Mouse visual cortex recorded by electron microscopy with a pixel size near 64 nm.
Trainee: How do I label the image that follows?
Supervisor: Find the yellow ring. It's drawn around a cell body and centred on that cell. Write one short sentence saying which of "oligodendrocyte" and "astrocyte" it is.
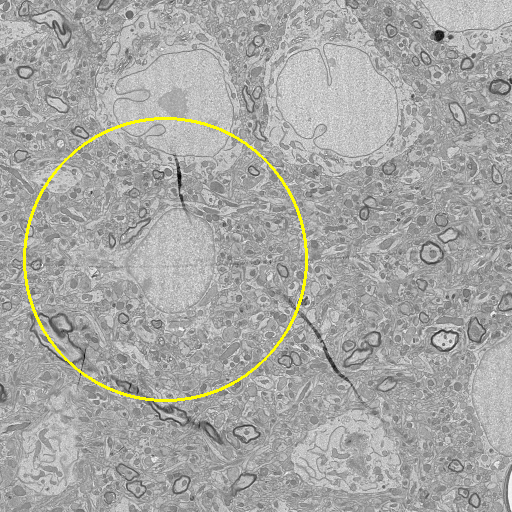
This is the cell body of an astrocyte.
